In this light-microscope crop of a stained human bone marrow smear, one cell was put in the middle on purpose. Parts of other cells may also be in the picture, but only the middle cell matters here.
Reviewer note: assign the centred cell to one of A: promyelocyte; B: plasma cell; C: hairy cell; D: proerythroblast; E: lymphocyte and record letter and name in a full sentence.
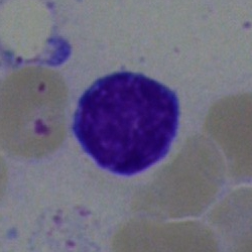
Option E is right, the centrally situated cell being a lymphocyte.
